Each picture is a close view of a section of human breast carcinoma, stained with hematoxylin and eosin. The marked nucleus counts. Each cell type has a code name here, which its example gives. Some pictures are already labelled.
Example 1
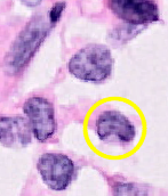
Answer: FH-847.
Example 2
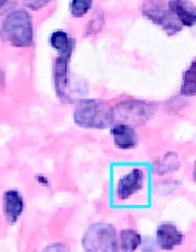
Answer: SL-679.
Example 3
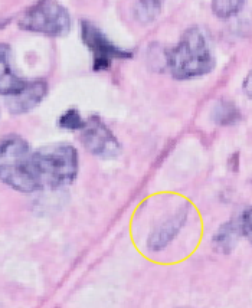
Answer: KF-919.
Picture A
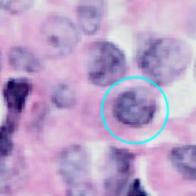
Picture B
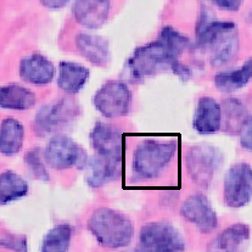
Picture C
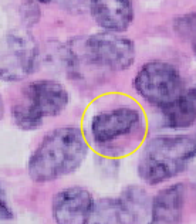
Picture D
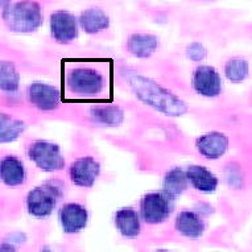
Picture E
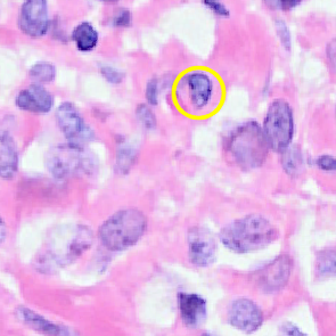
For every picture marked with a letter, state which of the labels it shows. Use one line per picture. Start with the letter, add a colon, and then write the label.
A: FH-847.
B: FH-847.
C: FH-847.
D: SL-679.
E: KF-919.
